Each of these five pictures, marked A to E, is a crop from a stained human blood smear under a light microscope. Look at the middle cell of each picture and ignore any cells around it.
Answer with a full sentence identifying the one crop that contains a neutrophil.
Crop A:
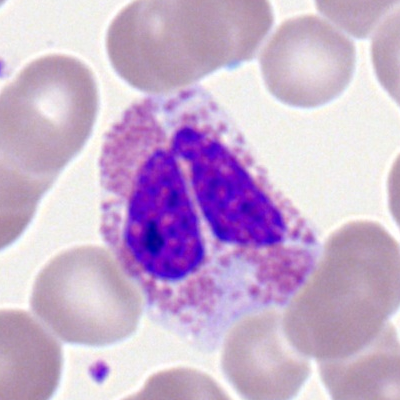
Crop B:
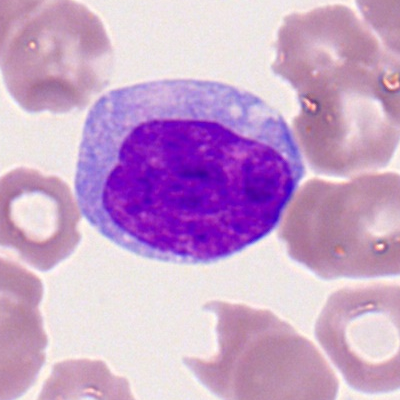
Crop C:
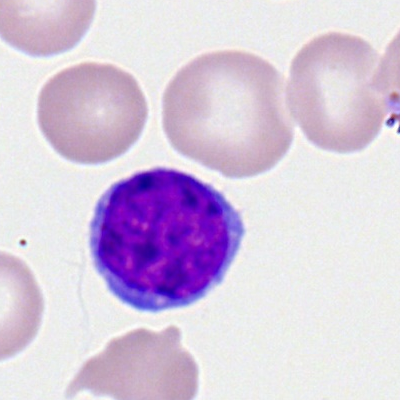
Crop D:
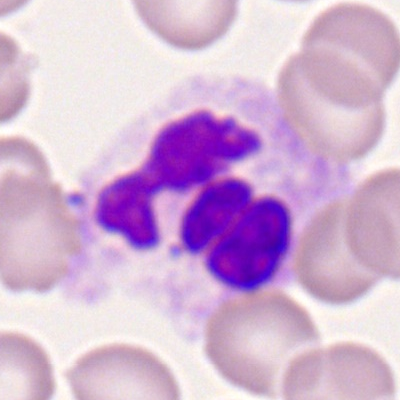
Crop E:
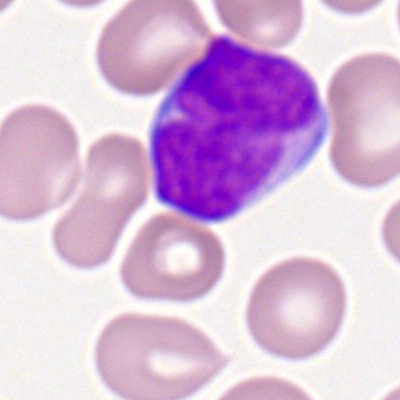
So the crop with a neutrophil at its center is crop D.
